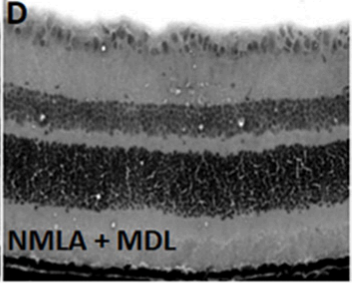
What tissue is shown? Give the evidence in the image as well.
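Two dense bands of round dark nuclei separated by paler fibrous layers. A thick outermost band of tightly packed small nuclei above a pale segment layer and dark pigmented base. On this evidence: retina.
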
